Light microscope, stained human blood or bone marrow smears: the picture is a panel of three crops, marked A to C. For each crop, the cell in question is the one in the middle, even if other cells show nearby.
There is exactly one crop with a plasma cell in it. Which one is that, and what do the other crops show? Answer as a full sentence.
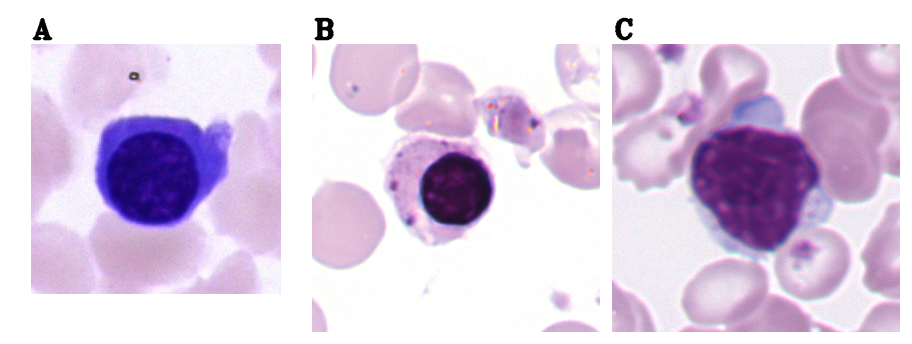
It is a plasma cell that crop A shows, while crop B is a normoblast and crop C is a lymphocyte.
